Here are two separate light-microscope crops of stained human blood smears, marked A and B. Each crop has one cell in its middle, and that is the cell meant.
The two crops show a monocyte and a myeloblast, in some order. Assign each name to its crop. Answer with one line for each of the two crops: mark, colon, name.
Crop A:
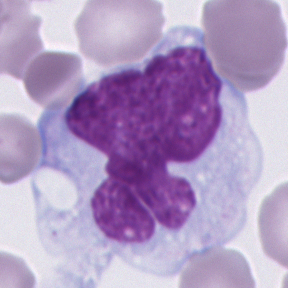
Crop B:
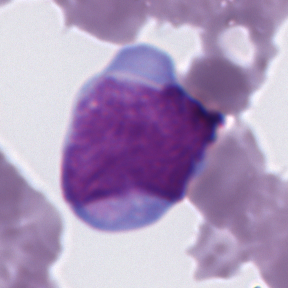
A: monocyte
B: myeloblast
